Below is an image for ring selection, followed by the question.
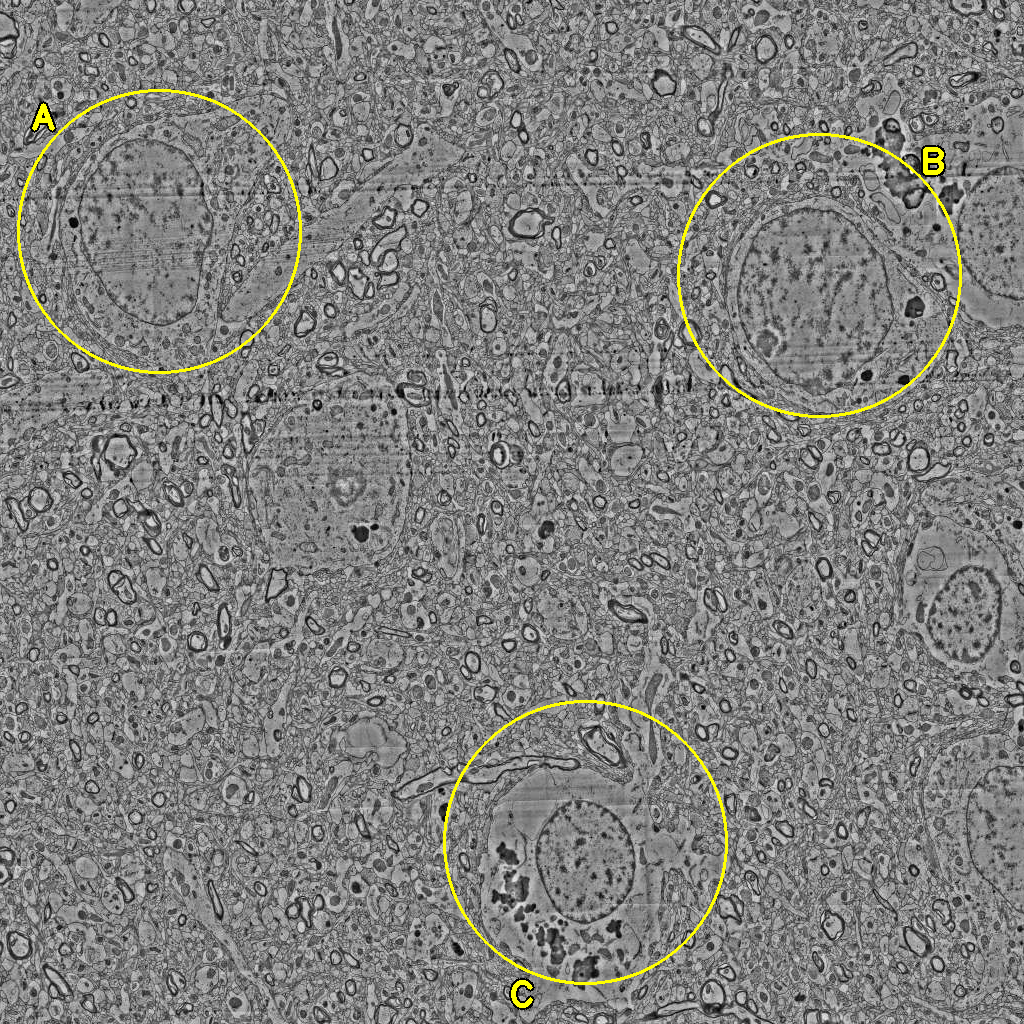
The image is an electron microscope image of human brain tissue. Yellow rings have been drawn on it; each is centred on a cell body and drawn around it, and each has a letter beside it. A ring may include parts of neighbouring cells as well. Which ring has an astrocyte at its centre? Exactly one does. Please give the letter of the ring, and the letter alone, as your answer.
C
